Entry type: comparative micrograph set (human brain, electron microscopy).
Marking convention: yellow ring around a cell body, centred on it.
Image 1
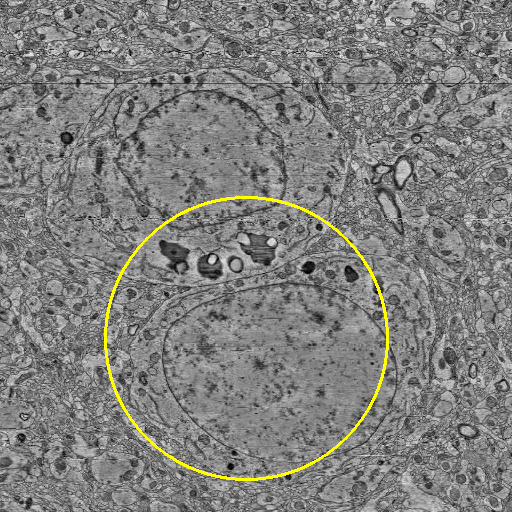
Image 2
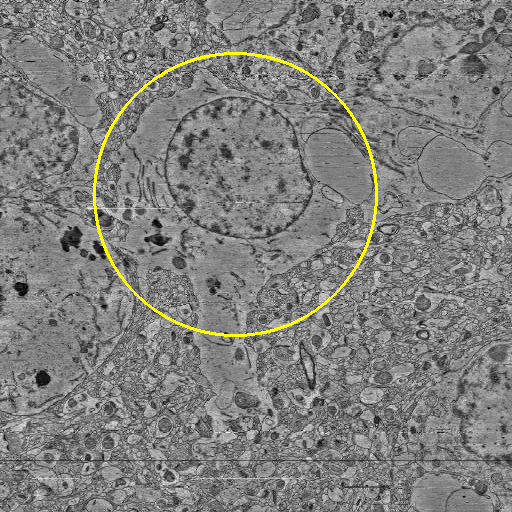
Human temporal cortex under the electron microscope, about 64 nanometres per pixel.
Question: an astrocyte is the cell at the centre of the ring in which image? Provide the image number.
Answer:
2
